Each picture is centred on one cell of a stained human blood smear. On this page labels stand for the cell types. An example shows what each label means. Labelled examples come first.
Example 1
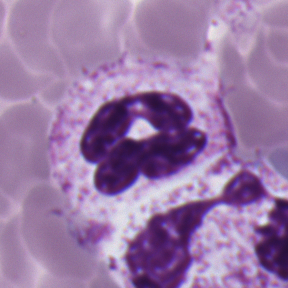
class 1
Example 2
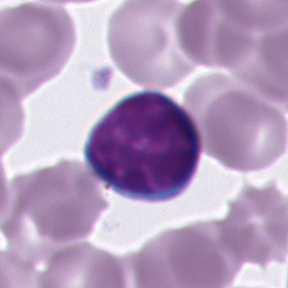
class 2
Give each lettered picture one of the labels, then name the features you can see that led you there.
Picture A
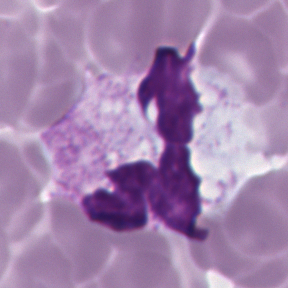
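Label: class 1. The nucleus is a long twisted band running from top to bottom that turns to the left at its lower end.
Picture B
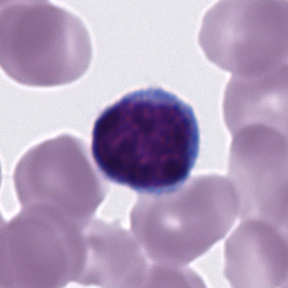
Label: class 2. The cytoplasm is only a very thin rim around the nucleus.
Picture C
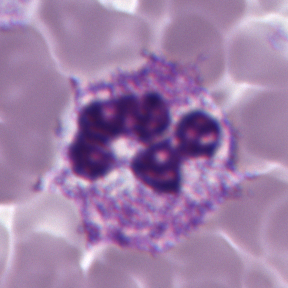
Label: class 1. The cytoplasm is ample and pale lilac.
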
